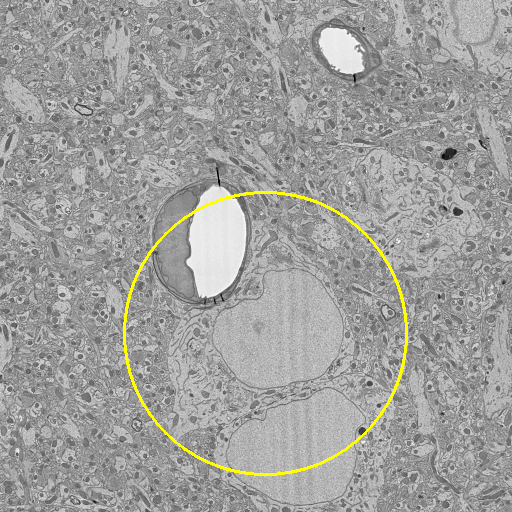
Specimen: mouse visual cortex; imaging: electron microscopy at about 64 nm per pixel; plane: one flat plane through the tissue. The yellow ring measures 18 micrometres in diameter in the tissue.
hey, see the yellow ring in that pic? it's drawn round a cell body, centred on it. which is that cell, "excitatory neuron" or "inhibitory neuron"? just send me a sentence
The cell in the ring is an excitatory neuron.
